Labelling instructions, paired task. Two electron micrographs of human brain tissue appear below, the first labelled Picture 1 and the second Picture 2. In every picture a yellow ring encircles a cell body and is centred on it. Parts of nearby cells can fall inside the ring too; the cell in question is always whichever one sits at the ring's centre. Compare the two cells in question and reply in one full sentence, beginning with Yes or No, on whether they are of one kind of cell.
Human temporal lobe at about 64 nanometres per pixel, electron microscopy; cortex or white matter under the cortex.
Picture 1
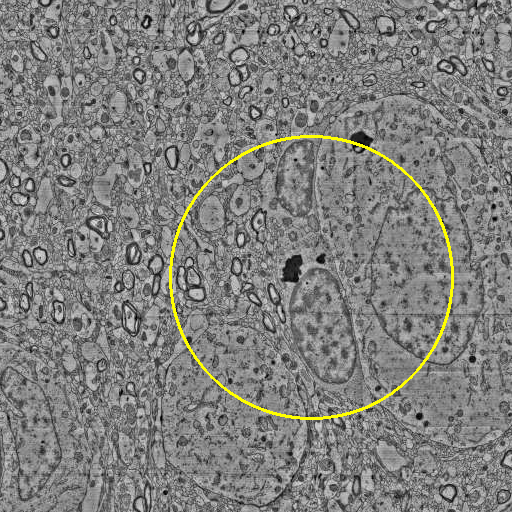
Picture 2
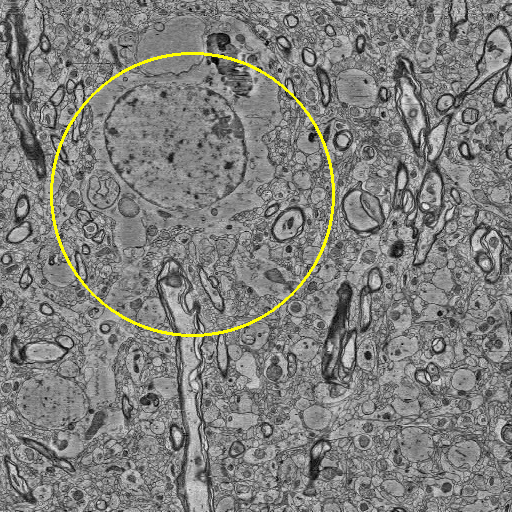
No, the two cells at the ring centres in Picture 1 and Picture 2 are of two kinds.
